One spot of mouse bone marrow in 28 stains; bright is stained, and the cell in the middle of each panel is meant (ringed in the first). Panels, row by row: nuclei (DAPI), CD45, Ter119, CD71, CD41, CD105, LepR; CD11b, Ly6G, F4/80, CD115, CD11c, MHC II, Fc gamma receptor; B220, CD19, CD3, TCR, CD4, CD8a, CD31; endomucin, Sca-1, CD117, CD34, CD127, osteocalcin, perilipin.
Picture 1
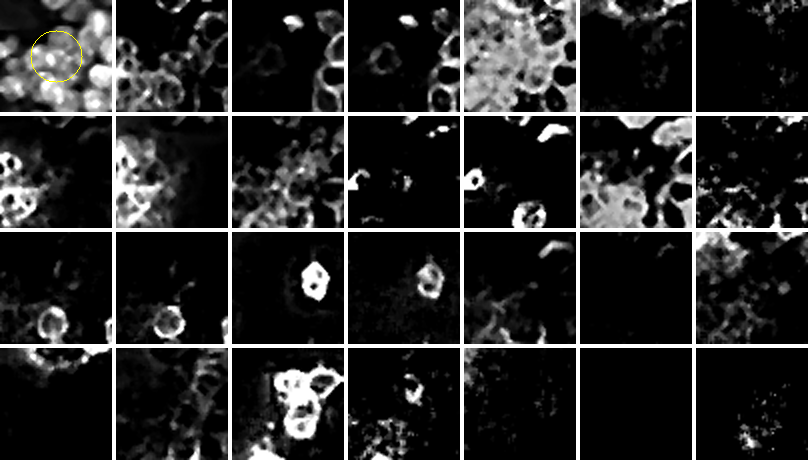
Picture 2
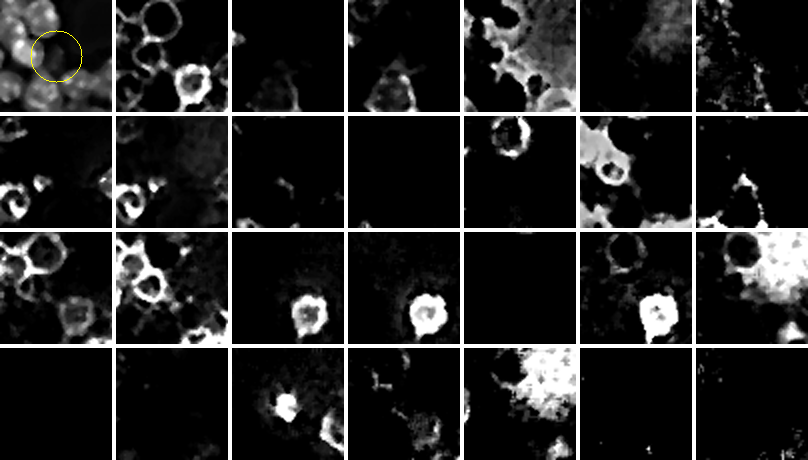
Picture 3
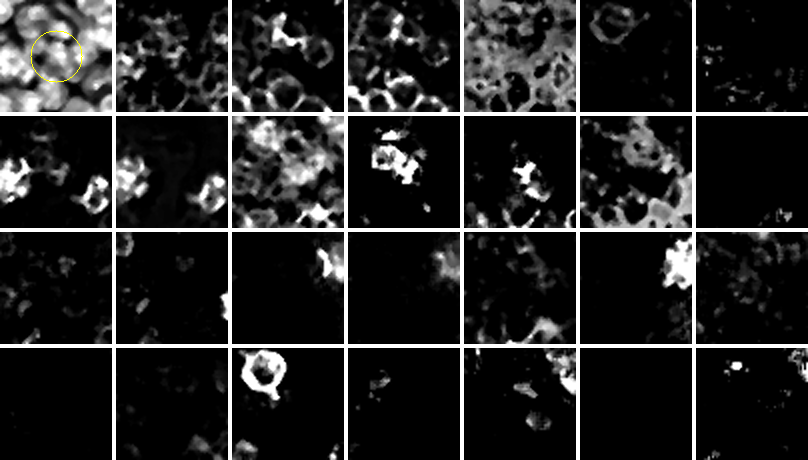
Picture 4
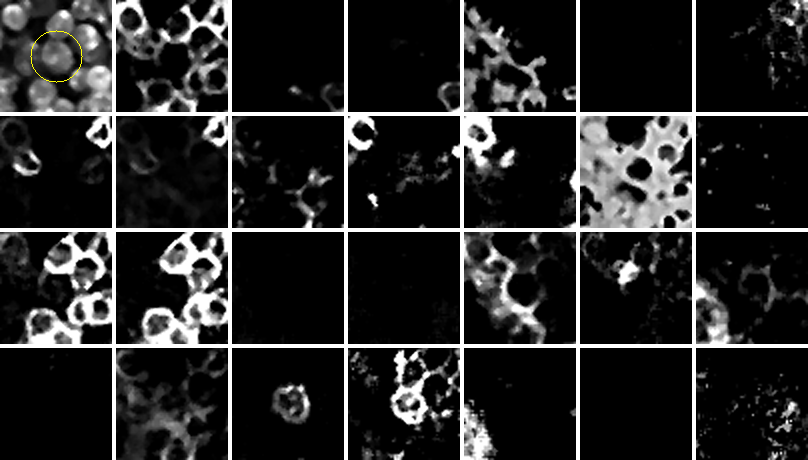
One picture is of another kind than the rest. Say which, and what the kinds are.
Picture 3 shows a monocyte; the rest show megakaryocyte progenitors.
